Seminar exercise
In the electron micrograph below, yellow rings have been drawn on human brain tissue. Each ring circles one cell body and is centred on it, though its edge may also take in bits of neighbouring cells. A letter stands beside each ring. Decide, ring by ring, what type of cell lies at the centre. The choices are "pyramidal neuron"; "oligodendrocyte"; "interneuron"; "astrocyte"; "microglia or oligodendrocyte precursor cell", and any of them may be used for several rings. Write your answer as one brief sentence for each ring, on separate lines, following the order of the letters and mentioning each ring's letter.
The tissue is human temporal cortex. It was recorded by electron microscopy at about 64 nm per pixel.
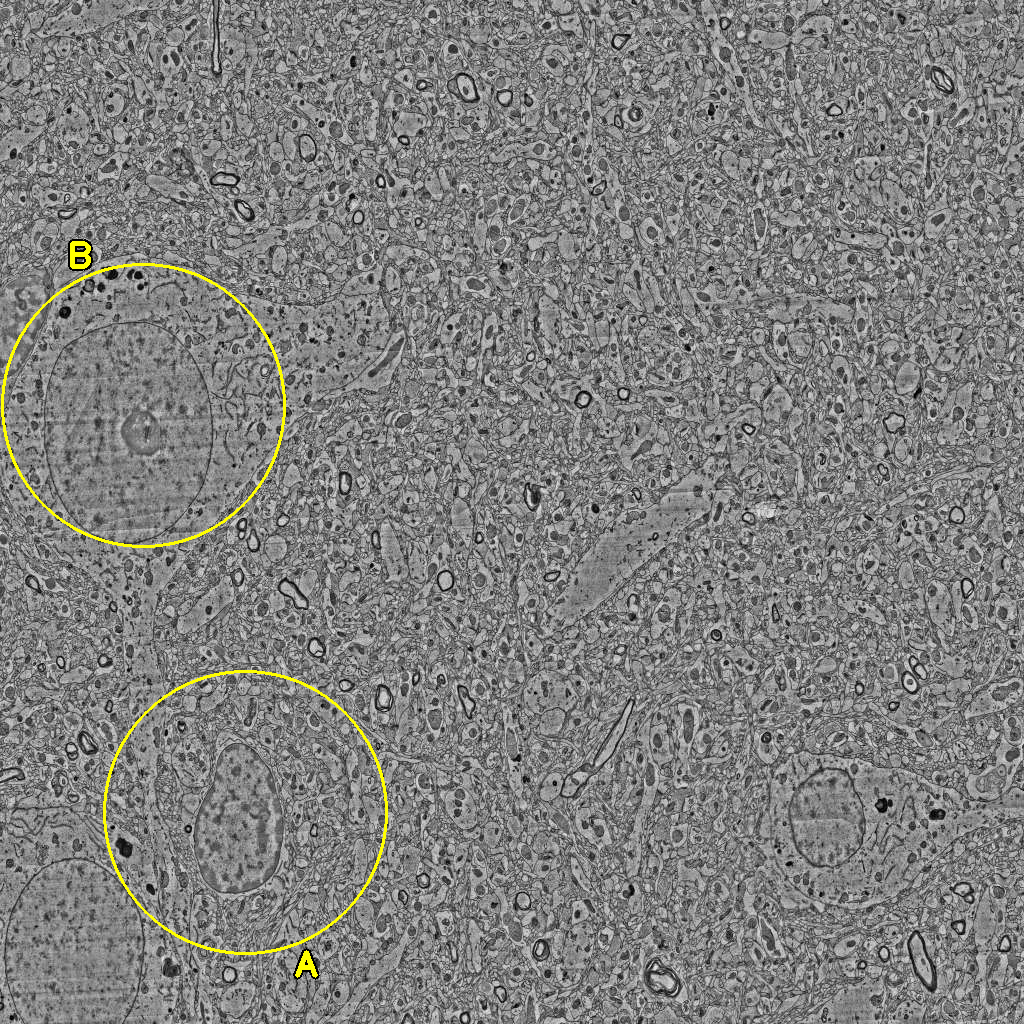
The cell in the middle of ring A is a microglial cell or oligodendrocyte precursor cell.
The cell in the middle of ring B is a pyramidal neuron.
